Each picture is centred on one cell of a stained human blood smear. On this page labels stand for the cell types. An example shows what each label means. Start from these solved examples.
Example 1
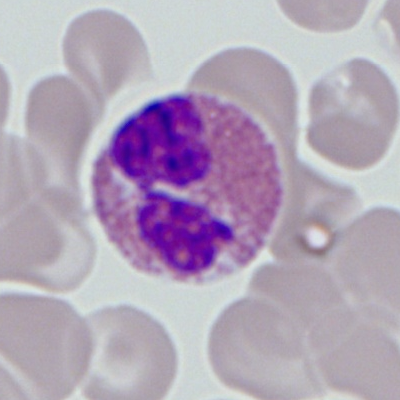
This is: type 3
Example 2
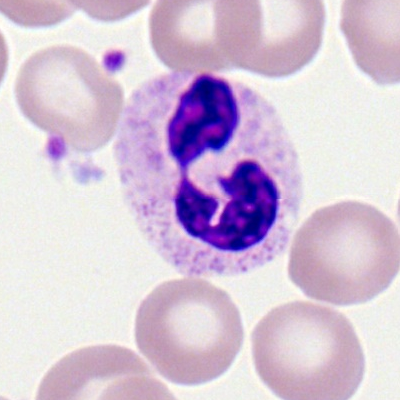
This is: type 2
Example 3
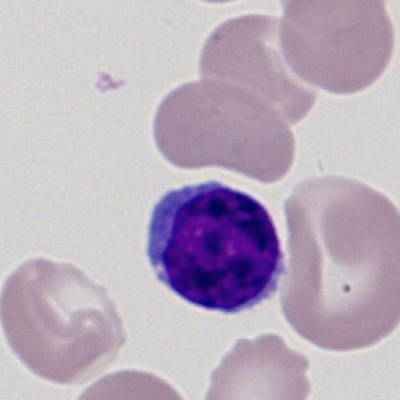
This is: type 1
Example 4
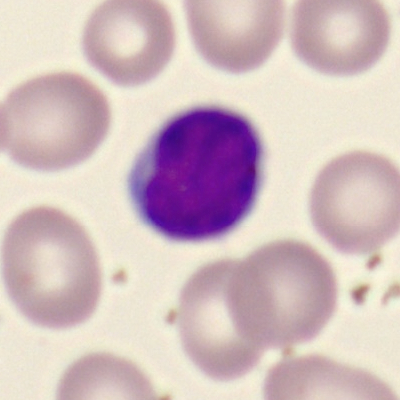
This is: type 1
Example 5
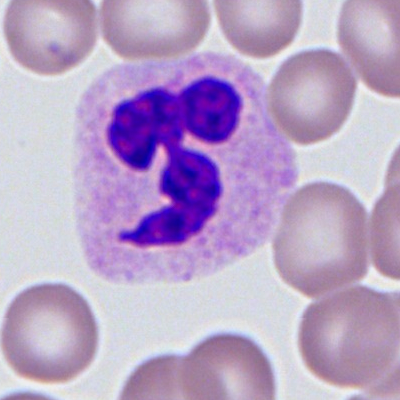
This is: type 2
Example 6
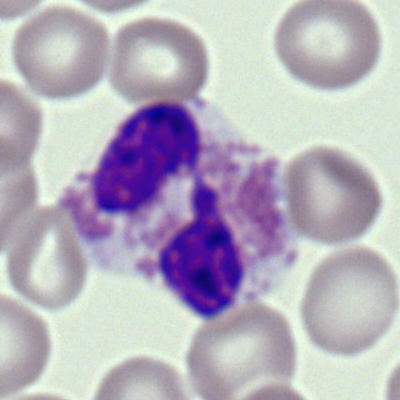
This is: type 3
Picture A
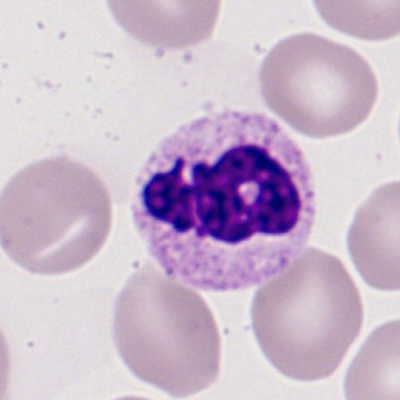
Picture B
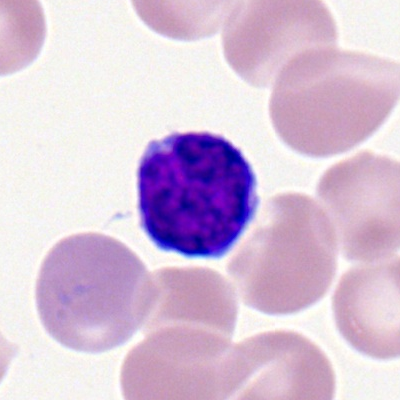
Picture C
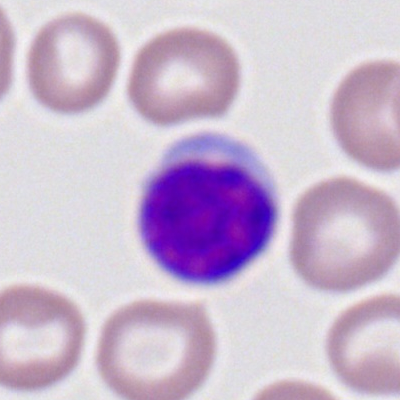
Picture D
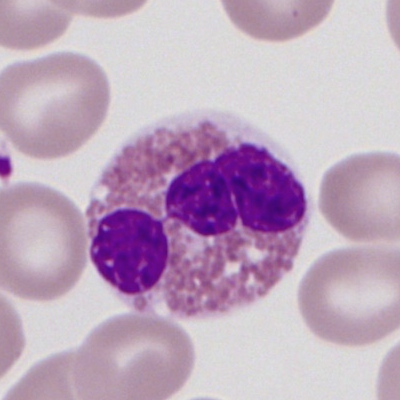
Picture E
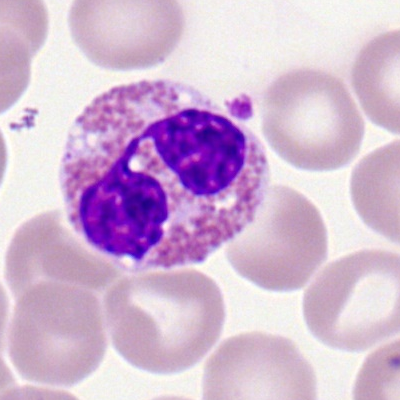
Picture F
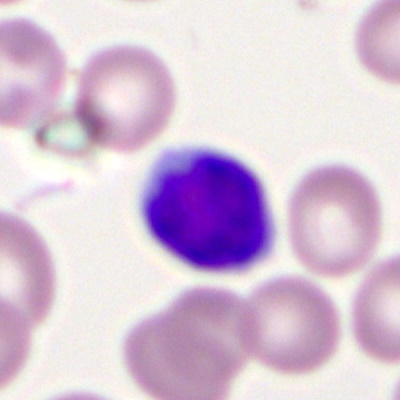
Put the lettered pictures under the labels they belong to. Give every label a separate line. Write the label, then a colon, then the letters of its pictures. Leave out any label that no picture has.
type 3: D, E
type 2: A
type 1: B, C, F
